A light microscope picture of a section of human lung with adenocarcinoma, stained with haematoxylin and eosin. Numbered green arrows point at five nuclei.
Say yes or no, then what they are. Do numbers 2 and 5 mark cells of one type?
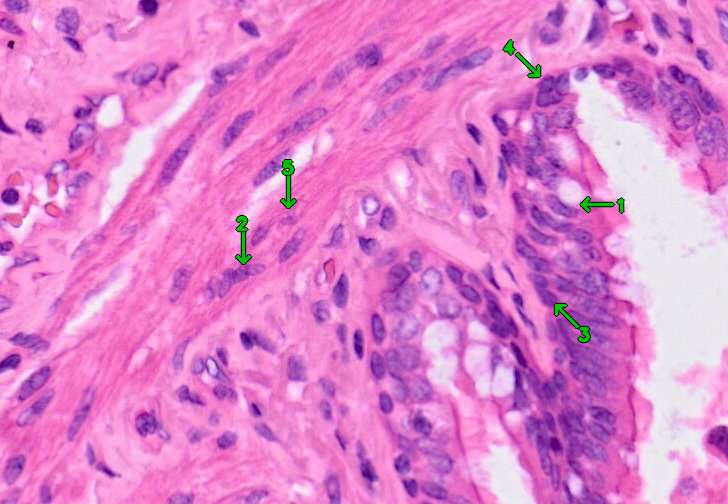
Yes, both are smooth muscle cells or pericytes.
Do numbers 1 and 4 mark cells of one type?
Yes, both are ciliated epithelial cells.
